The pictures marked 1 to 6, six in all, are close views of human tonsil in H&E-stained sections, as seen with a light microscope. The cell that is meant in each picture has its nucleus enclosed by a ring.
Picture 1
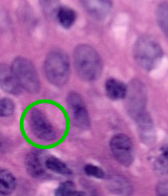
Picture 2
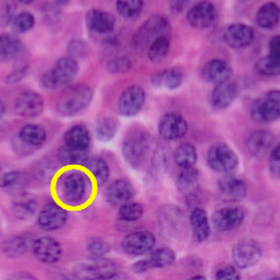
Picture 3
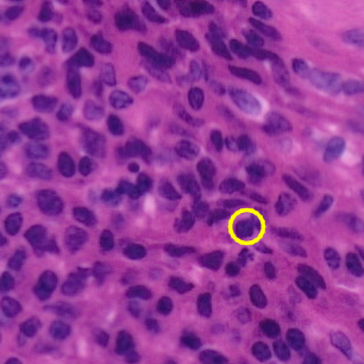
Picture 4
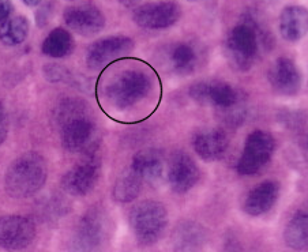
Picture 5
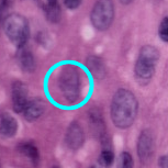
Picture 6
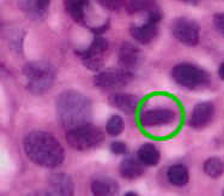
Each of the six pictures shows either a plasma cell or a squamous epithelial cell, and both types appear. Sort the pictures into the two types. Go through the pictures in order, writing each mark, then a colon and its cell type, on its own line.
1: squamous epithelial cell
2: plasma cell
3: plasma cell
4: squamous epithelial cell
5: squamous epithelial cell
6: squamous epithelial cell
